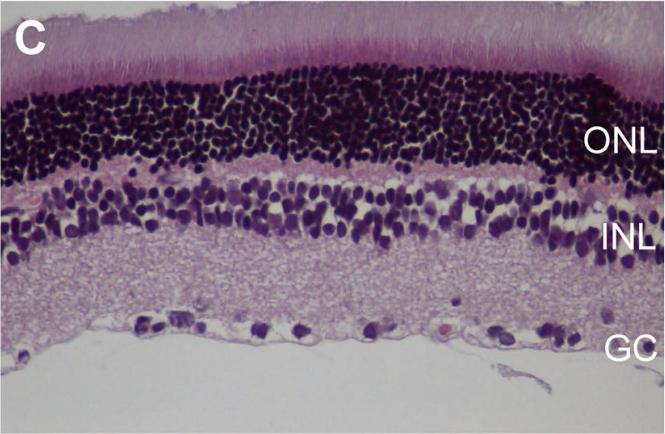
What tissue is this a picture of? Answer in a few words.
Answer: Retina.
